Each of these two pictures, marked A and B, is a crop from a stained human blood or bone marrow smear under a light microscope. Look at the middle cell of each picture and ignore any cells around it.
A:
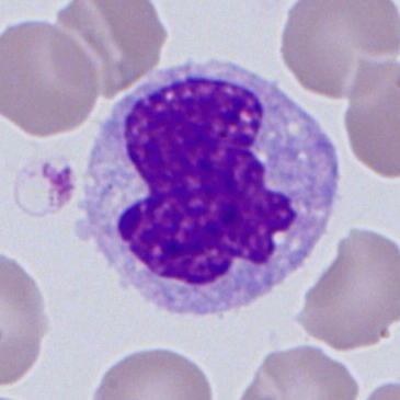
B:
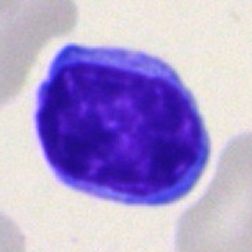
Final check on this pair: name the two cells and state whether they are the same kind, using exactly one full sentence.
No, crop A matches a monocyte and crop B matches a lymphocyte.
